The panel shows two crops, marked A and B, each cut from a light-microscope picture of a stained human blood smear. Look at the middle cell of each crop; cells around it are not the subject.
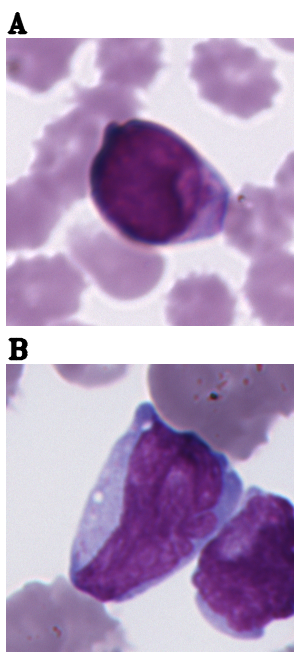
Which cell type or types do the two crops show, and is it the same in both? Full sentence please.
Yes, as shown in both crops, the central cells are blasts.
